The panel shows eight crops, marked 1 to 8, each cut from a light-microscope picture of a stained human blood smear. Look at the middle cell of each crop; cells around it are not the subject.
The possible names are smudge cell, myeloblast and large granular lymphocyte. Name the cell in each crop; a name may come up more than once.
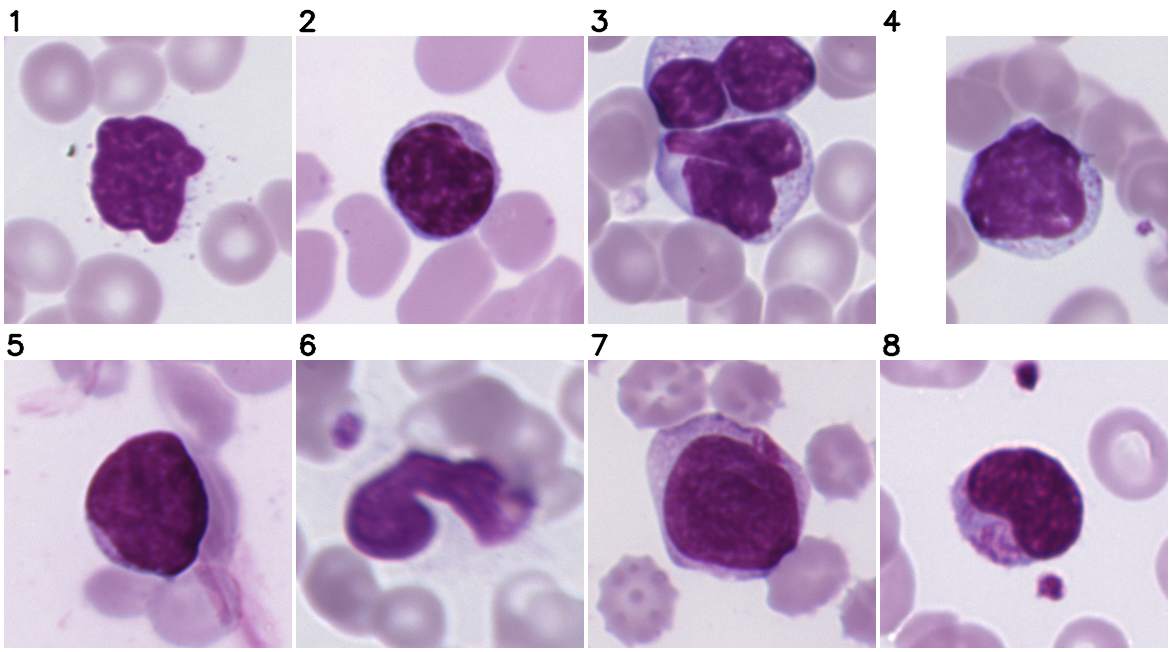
1: smudge cell
2: myeloblast
3: large granular lymphocyte
4: large granular lymphocyte
5: myeloblast
6: smudge cell
7: myeloblast
8: large granular lymphocyte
